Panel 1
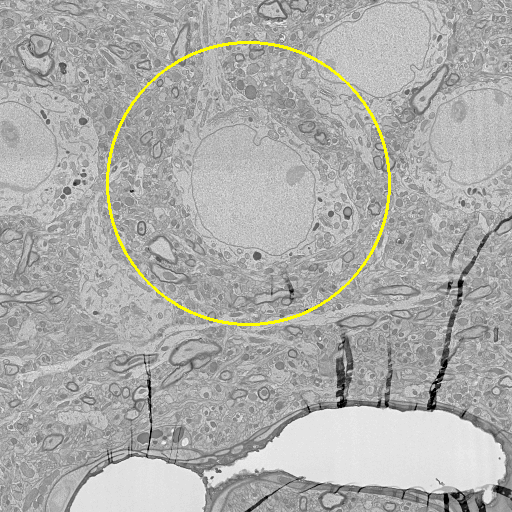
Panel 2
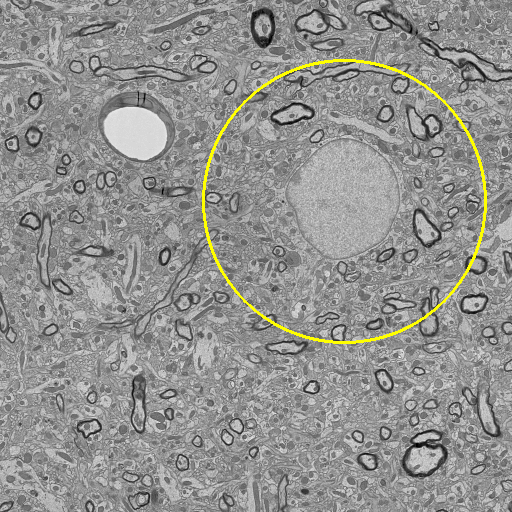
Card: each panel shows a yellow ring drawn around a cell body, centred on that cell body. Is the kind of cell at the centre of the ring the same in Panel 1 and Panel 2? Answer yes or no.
no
